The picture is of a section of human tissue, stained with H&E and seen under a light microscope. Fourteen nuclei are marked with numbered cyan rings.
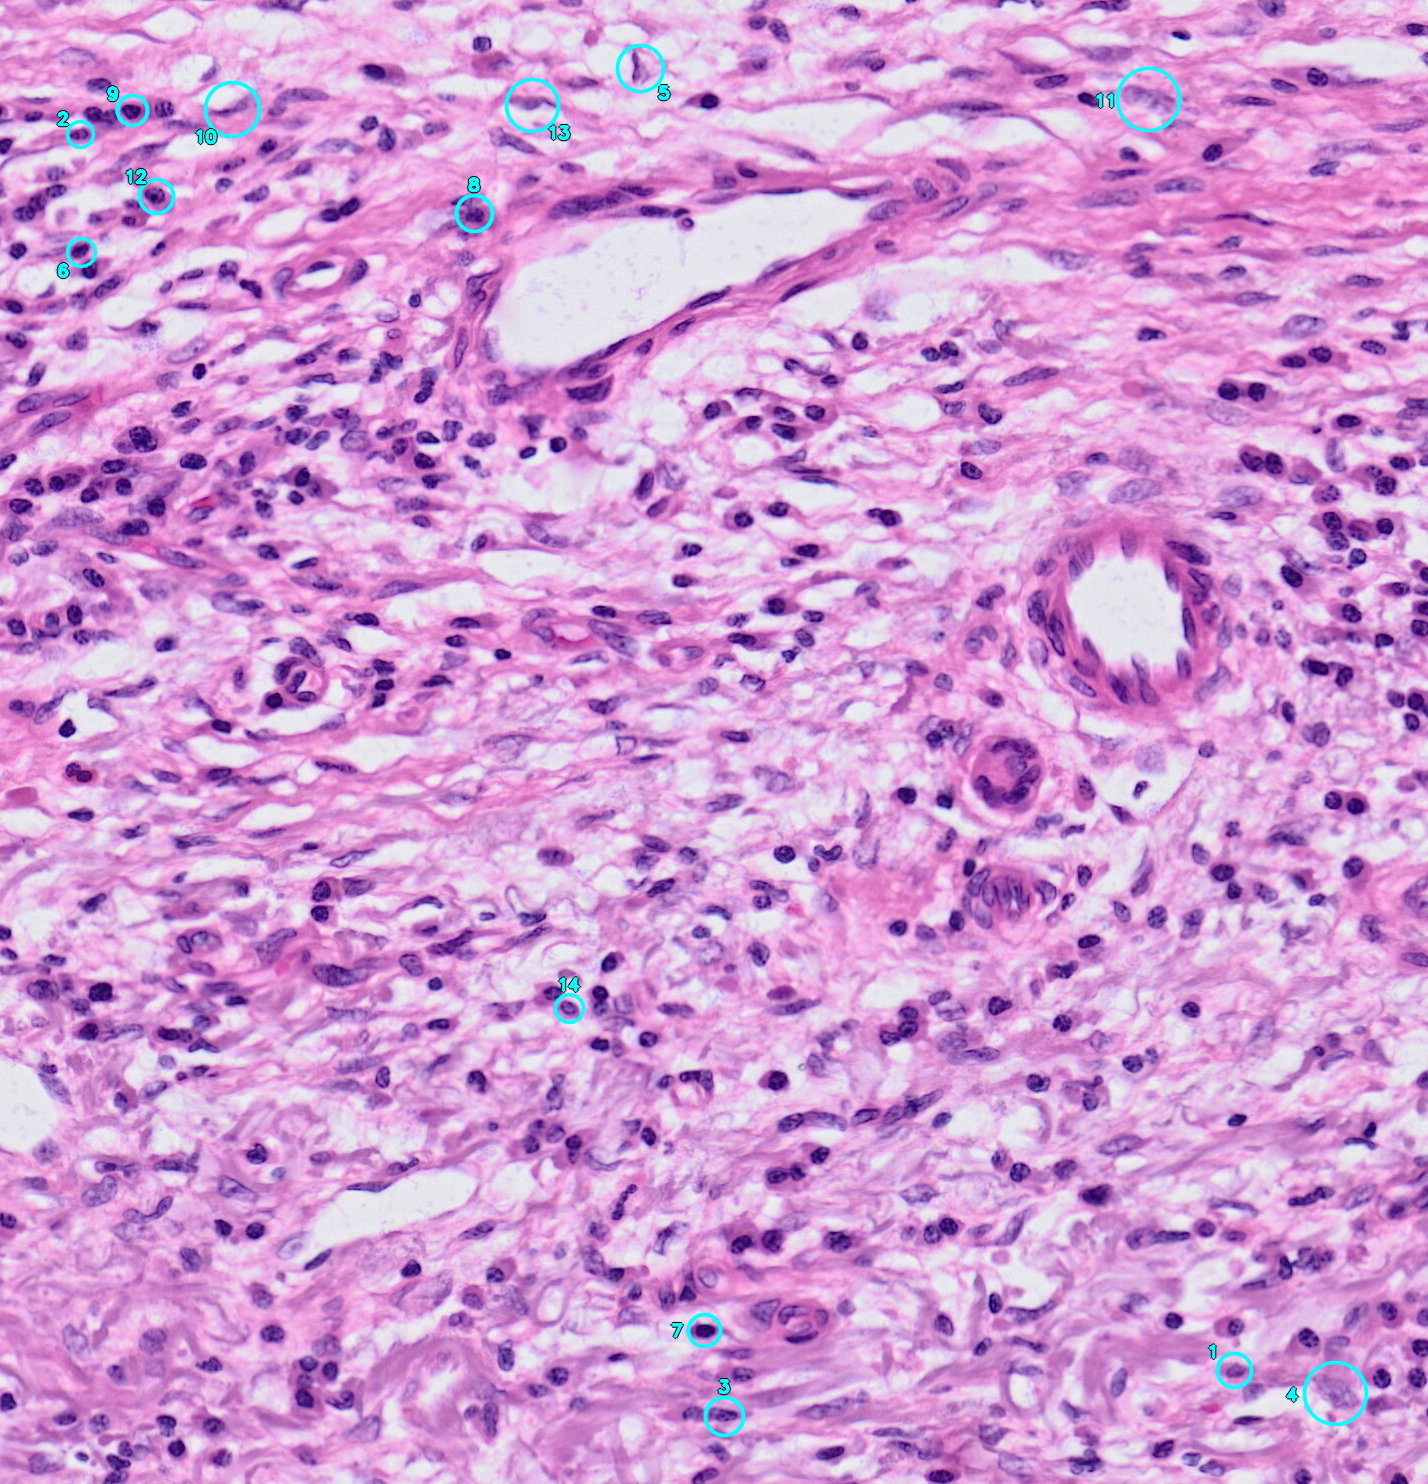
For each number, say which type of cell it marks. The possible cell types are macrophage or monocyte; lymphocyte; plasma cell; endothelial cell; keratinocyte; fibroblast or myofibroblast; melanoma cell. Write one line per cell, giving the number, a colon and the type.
1: macrophage or monocyte
2: plasma cell
3: plasma cell
4: fibroblast or myofibroblast
5: fibroblast or myofibroblast
6: plasma cell
7: plasma cell
8: plasma cell
9: plasma cell
10: fibroblast or myofibroblast
11: fibroblast or myofibroblast
12: plasma cell
13: fibroblast or myofibroblast
14: plasma cell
